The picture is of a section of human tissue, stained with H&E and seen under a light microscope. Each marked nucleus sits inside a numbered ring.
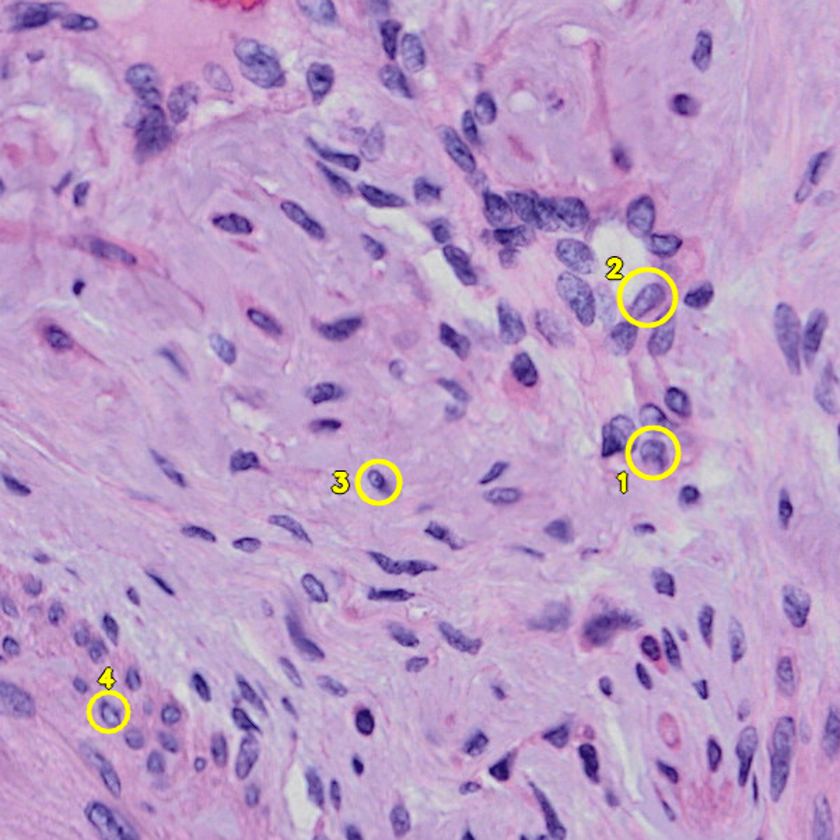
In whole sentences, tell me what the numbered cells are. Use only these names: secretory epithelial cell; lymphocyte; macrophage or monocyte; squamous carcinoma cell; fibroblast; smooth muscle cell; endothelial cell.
Cells 1 and 2 are endothelial cells. Cell 3 is a fibroblast. Cell 4 is a smooth muscle cell.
